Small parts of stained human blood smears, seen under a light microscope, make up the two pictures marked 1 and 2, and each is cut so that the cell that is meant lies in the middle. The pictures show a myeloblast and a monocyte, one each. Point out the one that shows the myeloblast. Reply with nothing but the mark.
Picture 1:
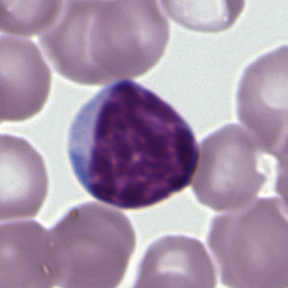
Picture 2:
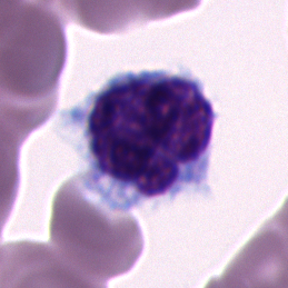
1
